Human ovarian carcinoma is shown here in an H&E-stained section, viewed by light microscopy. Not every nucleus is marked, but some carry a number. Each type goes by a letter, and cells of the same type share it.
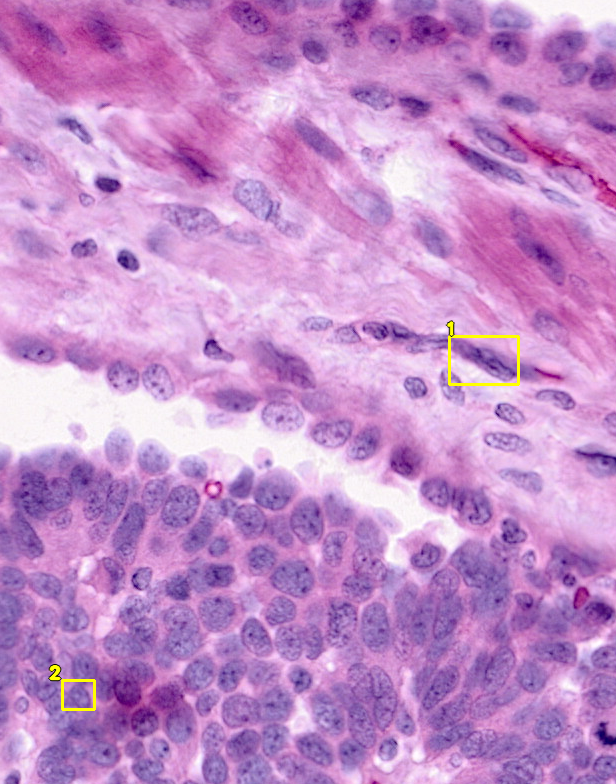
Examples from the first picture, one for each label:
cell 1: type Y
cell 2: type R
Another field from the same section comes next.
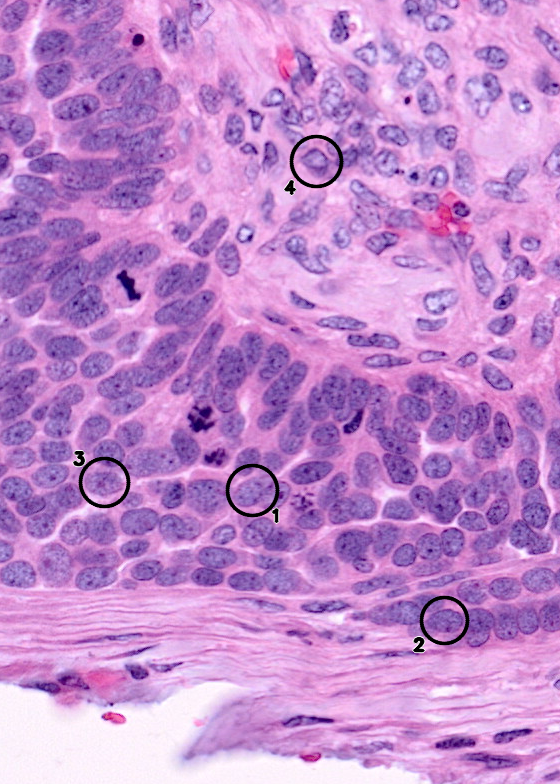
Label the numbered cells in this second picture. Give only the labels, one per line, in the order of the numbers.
type R
type R
type R
type Y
